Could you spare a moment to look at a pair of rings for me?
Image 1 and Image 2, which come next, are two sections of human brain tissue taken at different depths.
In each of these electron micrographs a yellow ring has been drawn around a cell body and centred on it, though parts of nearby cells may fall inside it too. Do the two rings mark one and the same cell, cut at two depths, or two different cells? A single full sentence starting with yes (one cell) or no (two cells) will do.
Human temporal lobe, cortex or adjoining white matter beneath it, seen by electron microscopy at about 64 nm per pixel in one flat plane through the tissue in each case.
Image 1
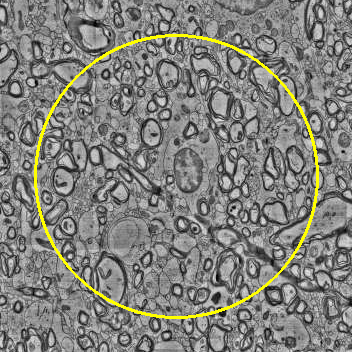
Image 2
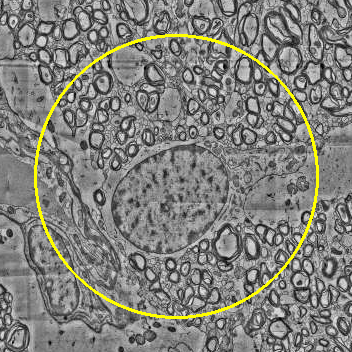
No, the pair of rings marks a pair of different cells.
